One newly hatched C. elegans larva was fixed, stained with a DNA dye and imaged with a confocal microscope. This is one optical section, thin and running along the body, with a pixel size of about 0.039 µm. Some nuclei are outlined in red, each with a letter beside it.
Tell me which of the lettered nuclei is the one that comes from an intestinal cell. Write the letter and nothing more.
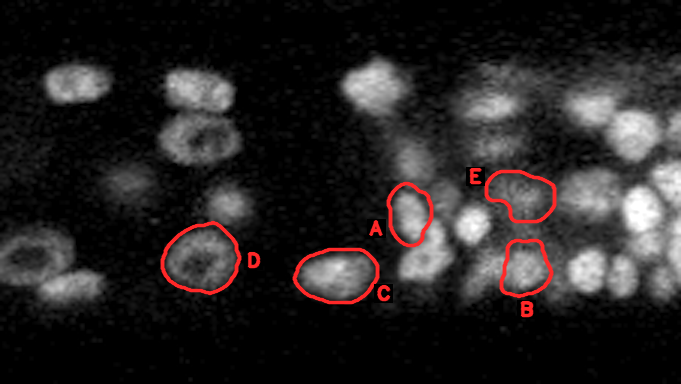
D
